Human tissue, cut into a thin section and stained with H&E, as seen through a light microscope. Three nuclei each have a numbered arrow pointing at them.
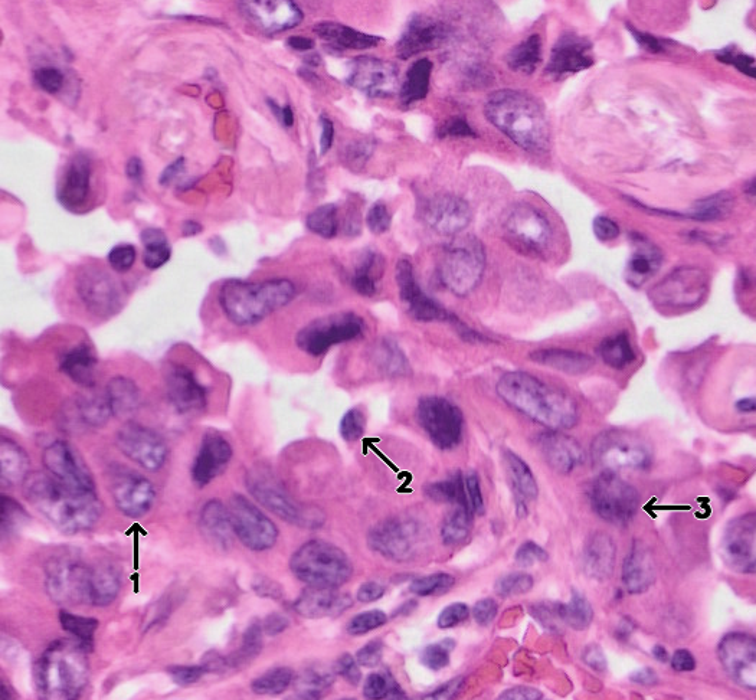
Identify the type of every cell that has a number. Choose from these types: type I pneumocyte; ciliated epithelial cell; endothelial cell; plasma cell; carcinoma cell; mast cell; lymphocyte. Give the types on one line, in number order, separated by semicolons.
carcinoma cell; lymphocyte; carcinoma cell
